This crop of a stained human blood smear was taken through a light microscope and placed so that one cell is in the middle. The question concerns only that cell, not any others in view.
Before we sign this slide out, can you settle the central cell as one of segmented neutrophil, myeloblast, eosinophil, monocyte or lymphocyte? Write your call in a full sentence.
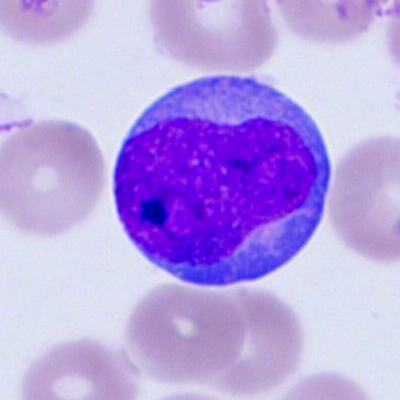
Seen at the centre of the crop is a myeloblast.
